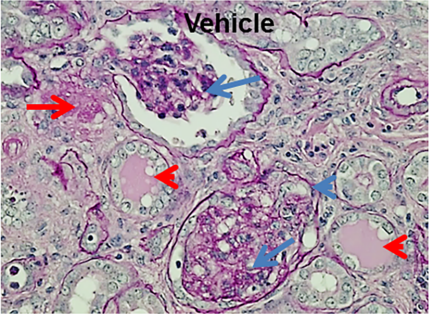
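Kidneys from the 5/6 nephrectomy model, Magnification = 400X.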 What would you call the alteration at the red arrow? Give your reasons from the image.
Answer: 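The arrow points to a patch of pink, amorphous, acellular material in the interstitium. On this evidence: hyaline deposits.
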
